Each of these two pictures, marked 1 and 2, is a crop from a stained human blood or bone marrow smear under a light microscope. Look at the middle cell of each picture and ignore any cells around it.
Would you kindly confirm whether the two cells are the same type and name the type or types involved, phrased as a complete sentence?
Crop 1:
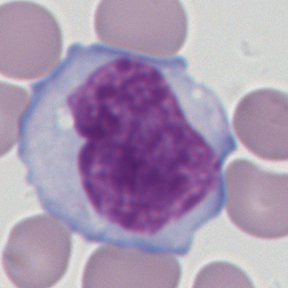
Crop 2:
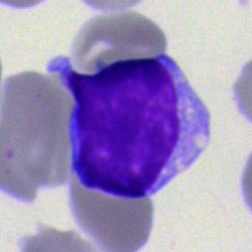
No, crop 1 features a blast, while crop 2 features a lymphocyte.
